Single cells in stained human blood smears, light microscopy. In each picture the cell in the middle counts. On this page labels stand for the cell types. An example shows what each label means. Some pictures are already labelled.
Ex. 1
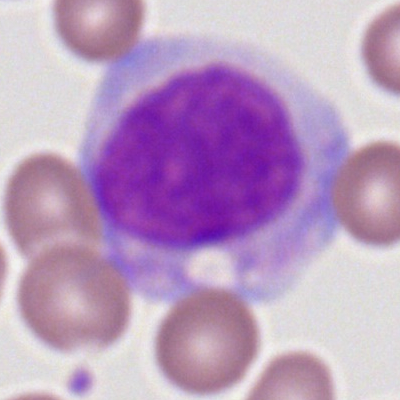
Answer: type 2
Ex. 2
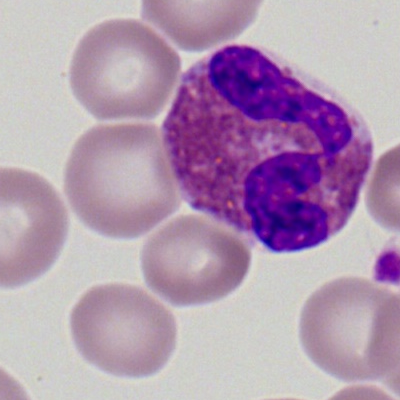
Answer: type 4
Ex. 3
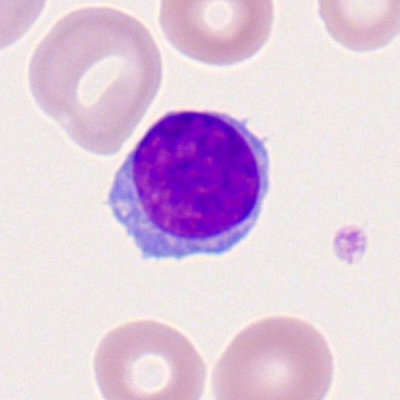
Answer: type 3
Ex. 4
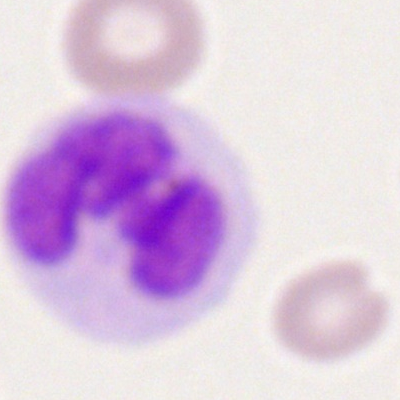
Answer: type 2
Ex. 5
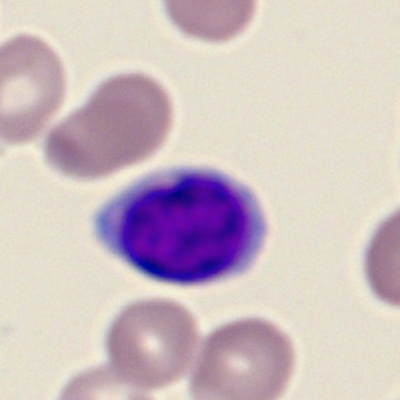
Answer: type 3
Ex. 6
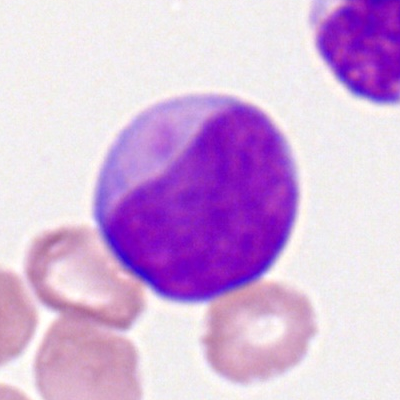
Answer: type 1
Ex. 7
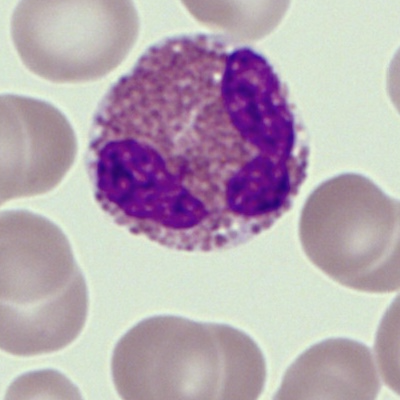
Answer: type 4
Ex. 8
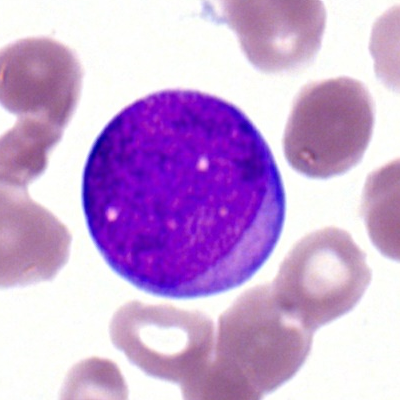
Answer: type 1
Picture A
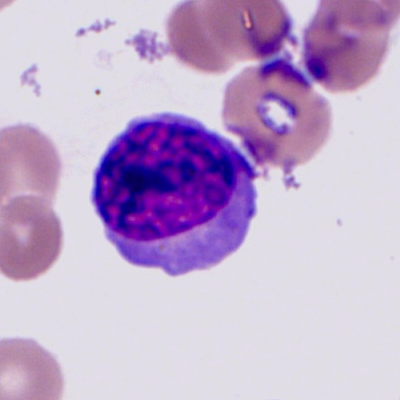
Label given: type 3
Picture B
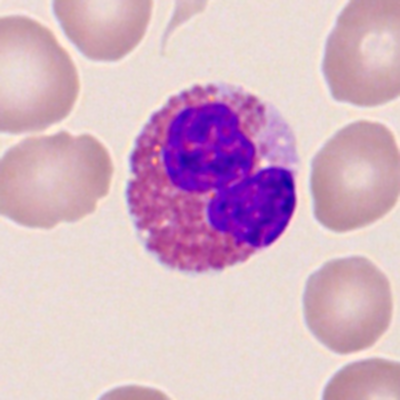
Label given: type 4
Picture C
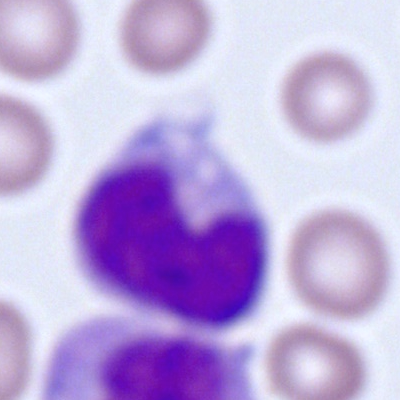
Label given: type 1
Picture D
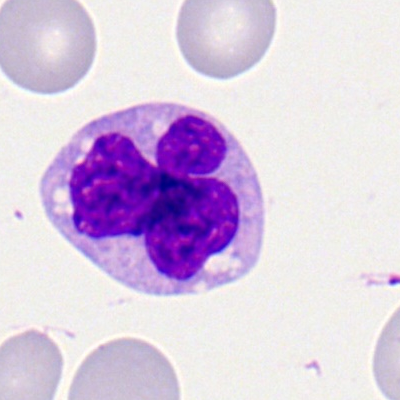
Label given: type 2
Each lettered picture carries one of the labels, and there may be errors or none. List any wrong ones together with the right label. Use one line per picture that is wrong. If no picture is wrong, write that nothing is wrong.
C: change type 1 to type 2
